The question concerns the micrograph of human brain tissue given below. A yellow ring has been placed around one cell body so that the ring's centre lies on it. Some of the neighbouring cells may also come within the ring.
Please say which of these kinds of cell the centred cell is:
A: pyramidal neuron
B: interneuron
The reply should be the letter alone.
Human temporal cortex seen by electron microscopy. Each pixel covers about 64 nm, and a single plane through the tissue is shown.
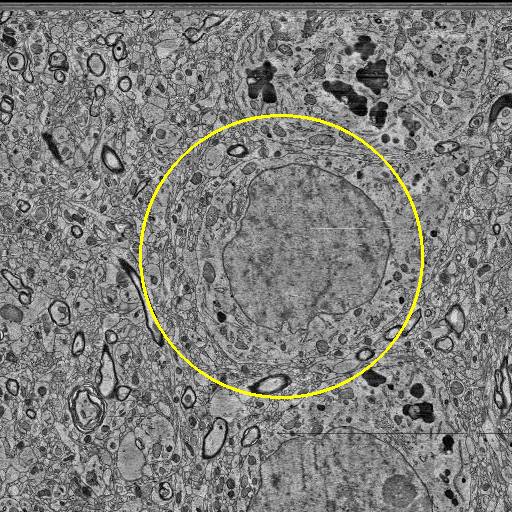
A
